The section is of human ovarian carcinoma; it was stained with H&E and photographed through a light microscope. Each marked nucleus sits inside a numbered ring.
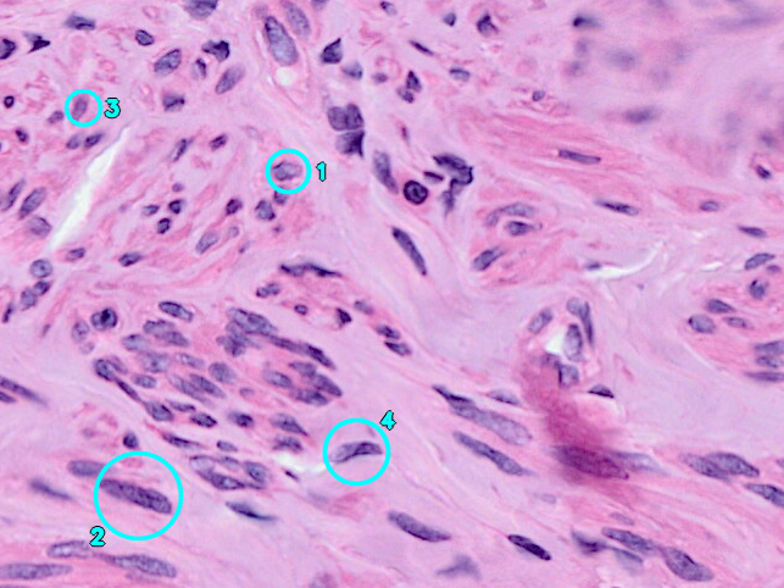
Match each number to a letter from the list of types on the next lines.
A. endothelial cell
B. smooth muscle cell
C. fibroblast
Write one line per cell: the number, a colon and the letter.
1: B
2: B
3: B
4: C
